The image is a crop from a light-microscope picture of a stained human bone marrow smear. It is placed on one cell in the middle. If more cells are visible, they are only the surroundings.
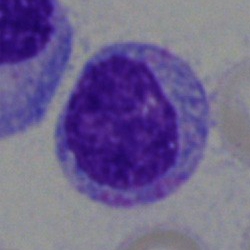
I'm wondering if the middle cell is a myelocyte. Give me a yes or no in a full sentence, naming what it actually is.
Yes, the middle cell of the field is a myelocyte.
